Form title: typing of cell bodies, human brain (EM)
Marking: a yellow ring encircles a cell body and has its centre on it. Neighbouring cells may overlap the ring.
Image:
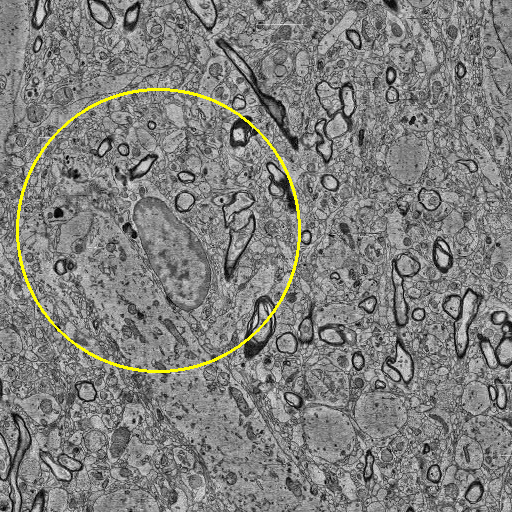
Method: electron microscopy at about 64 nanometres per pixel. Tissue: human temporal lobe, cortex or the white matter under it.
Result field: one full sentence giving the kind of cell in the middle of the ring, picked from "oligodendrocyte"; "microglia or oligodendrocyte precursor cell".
In the picture, the ring is centred on a microglial cell or oligodendrocyte precursor cell, whose cell body it encircles.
